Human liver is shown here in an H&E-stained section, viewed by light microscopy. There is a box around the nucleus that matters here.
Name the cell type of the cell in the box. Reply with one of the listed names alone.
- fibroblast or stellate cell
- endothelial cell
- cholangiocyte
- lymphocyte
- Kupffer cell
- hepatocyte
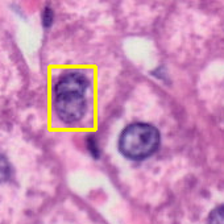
hepatocyte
